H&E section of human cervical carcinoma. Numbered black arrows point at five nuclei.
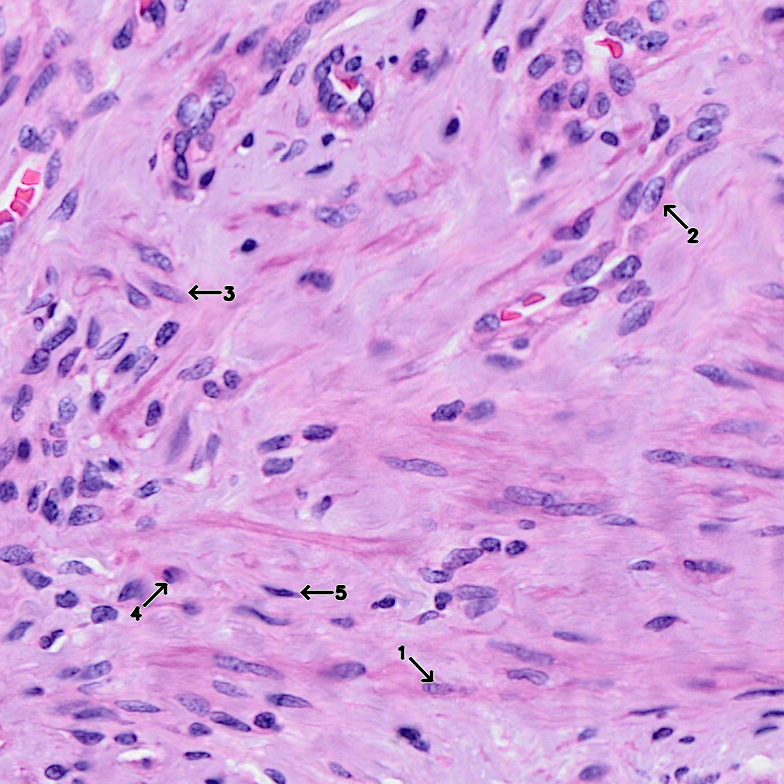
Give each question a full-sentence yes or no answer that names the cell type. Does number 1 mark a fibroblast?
No, cell 1, which is a smooth muscle cell, is not a fibroblast.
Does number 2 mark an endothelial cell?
Yes, the numbered cell 2 is identified as an endothelial cell.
